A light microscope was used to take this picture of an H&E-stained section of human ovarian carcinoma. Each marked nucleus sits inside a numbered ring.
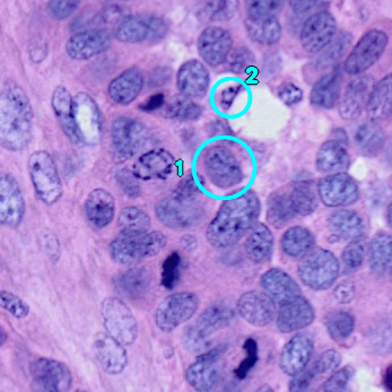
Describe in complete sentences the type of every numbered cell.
Cell 1 is a carcinoma cell and cell 2 is a macrophage or monocyte.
